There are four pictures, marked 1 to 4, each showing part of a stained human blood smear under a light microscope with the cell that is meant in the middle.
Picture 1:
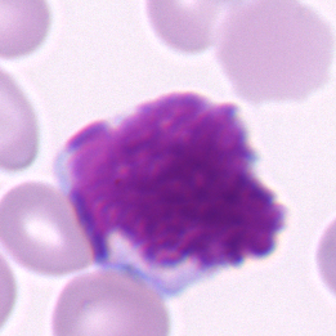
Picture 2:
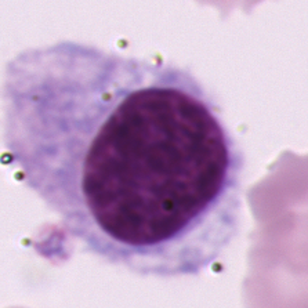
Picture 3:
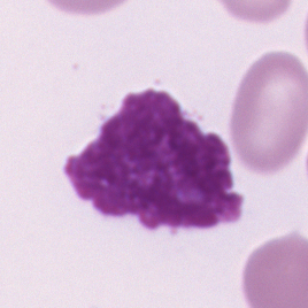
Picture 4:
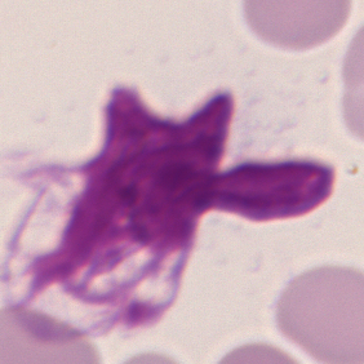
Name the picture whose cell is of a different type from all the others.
2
